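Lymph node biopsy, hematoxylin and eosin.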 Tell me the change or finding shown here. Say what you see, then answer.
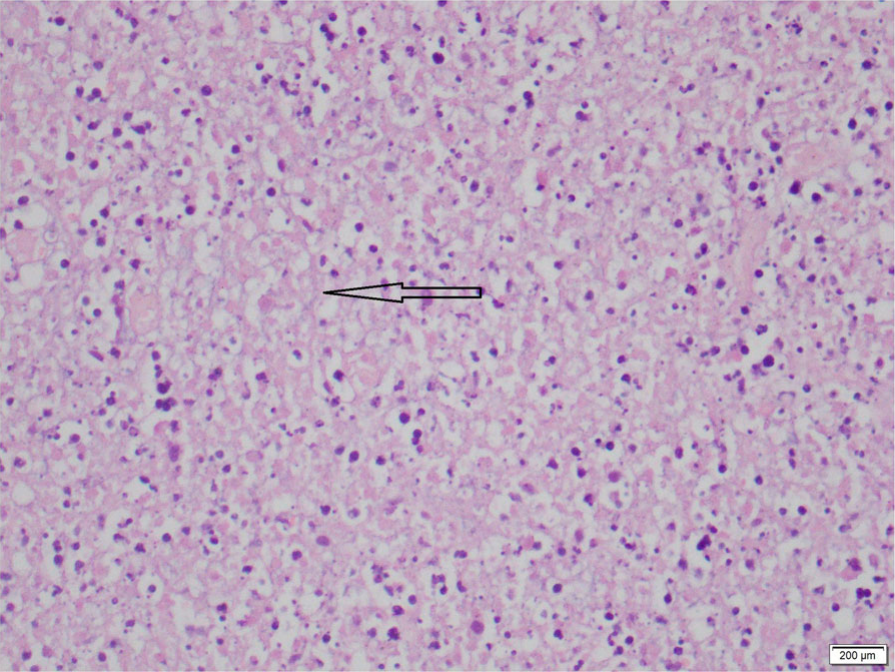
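The background is pale pink, granular and largely structureless. No normal nodal architecture such as follicles or sinuses can be made out. Many empty clear spaces break up the tissue.
Answer: Necrosis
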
